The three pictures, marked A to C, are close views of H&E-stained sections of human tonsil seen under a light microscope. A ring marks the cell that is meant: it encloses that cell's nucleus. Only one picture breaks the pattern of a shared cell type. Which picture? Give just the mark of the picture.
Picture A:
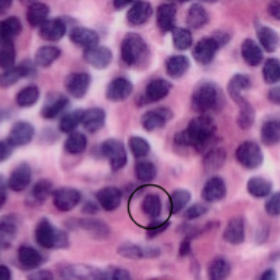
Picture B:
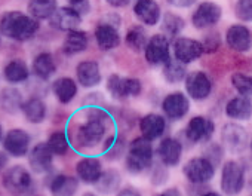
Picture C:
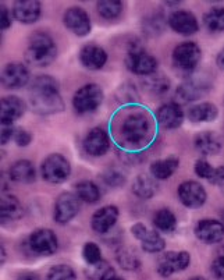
C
